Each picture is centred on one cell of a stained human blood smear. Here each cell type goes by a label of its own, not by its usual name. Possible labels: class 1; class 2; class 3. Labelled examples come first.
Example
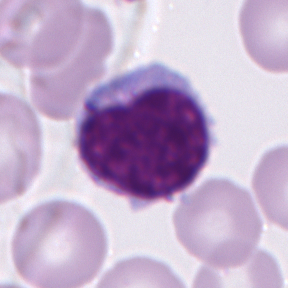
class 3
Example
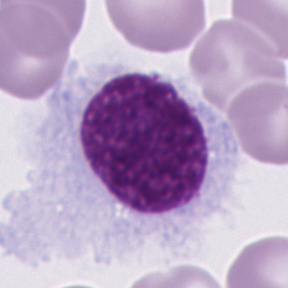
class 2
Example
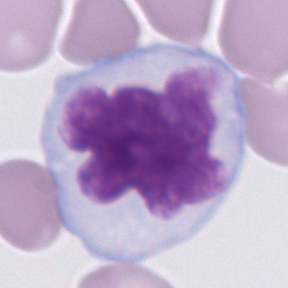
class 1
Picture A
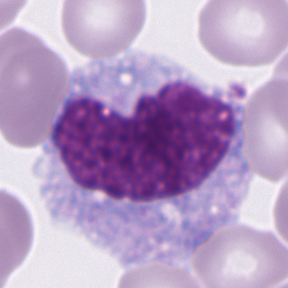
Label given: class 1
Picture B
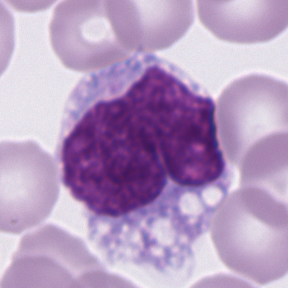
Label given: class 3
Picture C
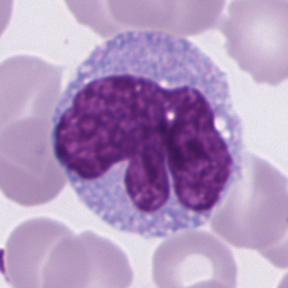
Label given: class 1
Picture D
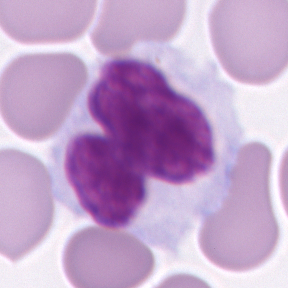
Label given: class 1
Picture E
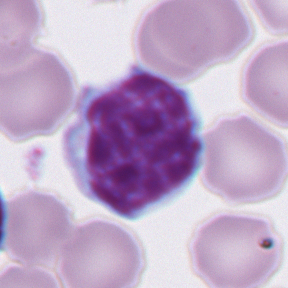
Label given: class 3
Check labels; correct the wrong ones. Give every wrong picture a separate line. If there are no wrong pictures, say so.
B is labelled class 3; correct label: class 1
D is labelled class 1; correct label: class 2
